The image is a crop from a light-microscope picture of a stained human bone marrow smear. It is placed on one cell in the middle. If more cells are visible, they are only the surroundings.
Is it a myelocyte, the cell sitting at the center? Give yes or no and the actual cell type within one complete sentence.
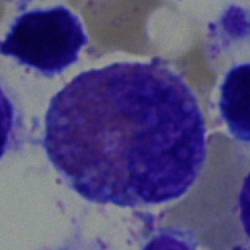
No, this one is an eosinophil; it is not a myelocyte.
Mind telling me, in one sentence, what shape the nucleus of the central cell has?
Have a look at the nucleus, which is one compact mass, round, oval or kidney-shaped.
